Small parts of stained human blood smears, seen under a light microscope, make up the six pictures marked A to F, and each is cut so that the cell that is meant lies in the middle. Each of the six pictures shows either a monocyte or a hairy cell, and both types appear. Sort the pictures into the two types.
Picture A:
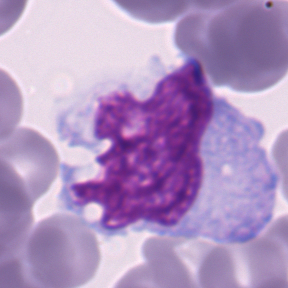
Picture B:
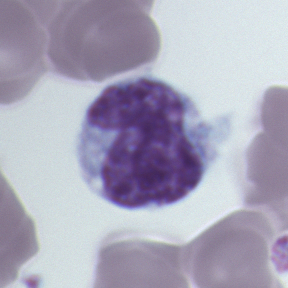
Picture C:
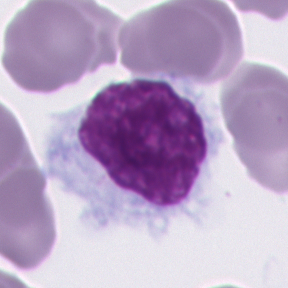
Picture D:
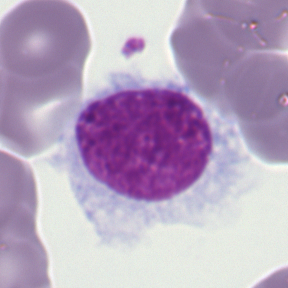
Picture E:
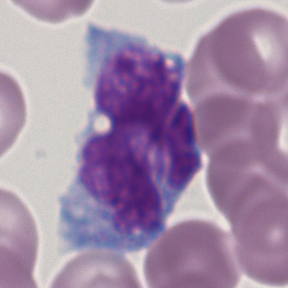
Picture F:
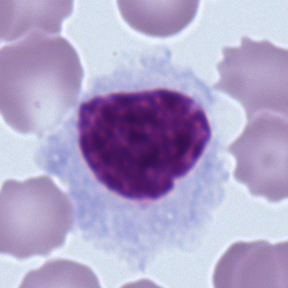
A: monocyte
B: monocyte
C: hairy cell
D: hairy cell
E: monocyte
F: hairy cell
